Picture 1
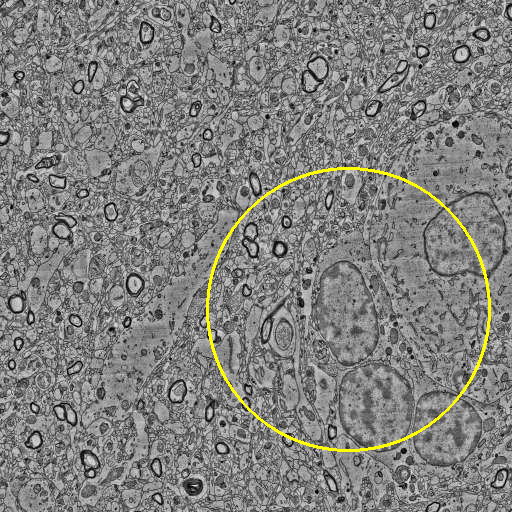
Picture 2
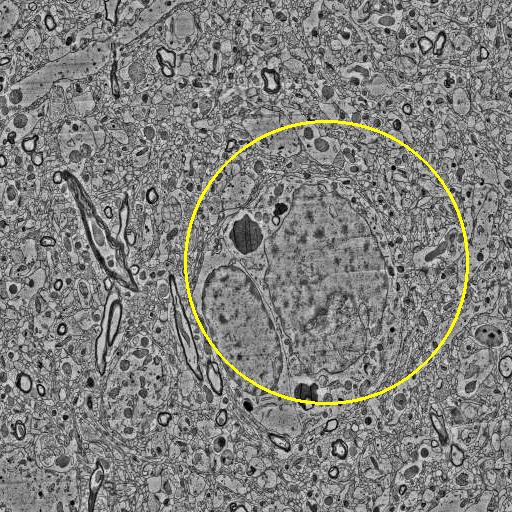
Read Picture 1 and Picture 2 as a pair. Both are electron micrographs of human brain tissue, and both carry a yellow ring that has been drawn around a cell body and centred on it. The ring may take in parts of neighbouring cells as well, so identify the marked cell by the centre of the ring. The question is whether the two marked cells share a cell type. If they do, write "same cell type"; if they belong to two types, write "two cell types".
two cell types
